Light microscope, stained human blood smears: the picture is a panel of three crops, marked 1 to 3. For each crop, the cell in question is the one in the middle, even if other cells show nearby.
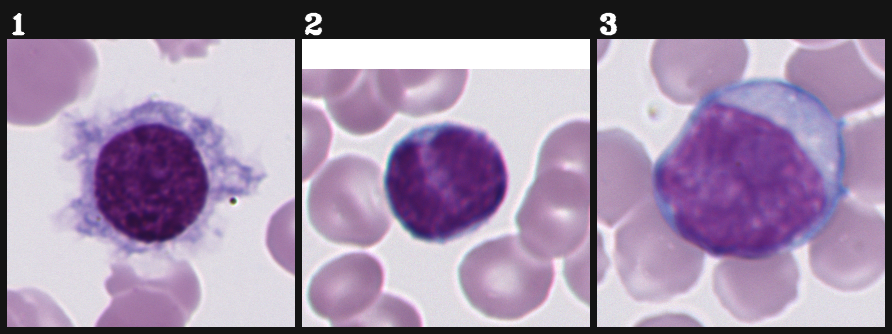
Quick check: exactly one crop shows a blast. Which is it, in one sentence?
It is the cell in crop 3 that is a blast.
